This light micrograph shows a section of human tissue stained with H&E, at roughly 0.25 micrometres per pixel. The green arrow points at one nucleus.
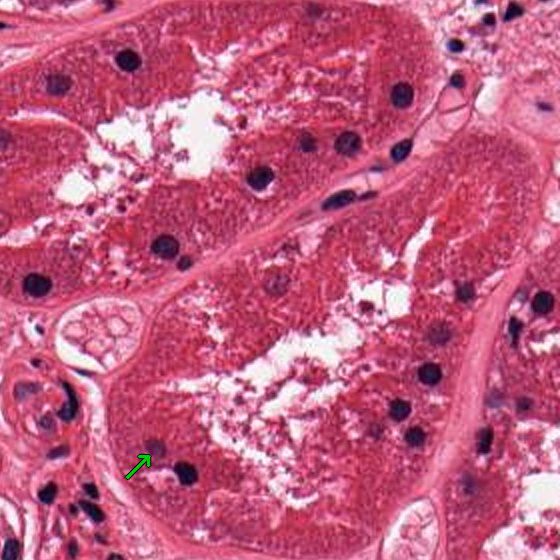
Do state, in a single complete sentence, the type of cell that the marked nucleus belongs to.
The marked nucleus is one that belongs to a proximal tubule cell.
